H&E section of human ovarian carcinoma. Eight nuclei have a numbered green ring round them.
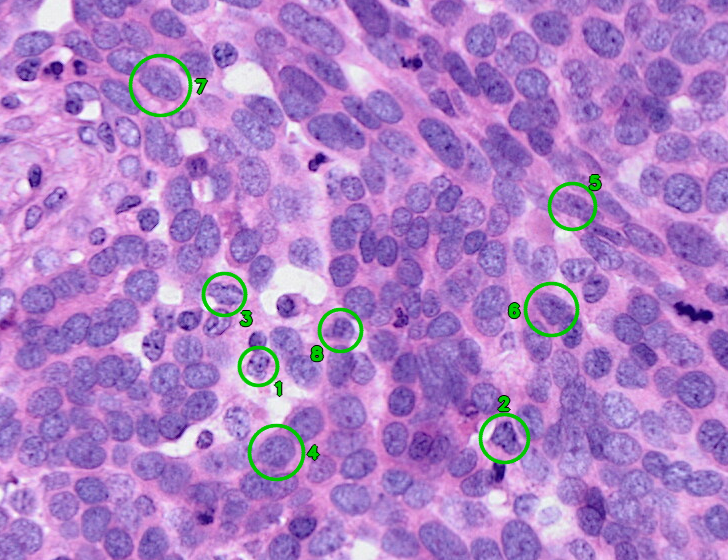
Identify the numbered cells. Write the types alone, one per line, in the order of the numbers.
macrophage or monocyte
macrophage or monocyte
macrophage or monocyte
carcinoma cell
carcinoma cell
carcinoma cell
carcinoma cell
macrophage or monocyte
